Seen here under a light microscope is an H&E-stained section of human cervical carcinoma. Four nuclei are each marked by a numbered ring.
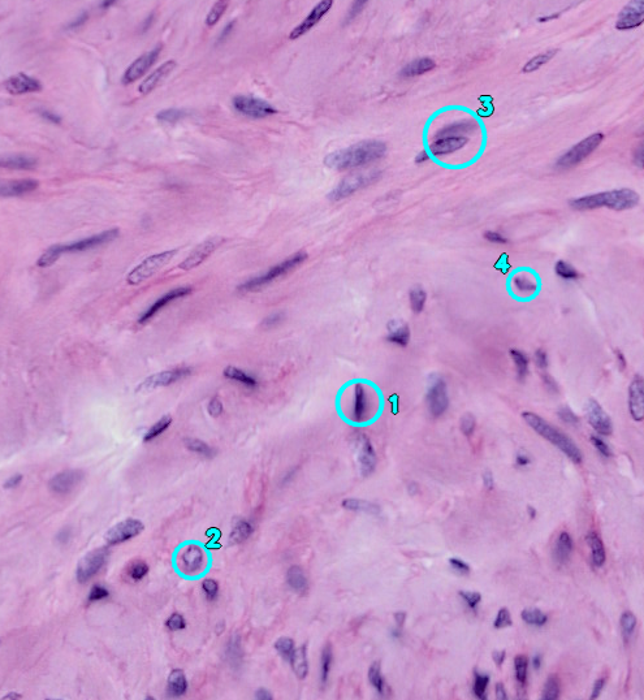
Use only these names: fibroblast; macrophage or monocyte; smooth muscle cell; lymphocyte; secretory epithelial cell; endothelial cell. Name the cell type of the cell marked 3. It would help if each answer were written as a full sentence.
The nucleus with number 3 is that of a fibroblast.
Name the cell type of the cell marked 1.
Cell number 1 in this section is a fibroblast.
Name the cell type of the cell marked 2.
In the tissue shown, cell 2 is a smooth muscle cell.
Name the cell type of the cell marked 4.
Numbered cell 4 is a fibroblast in this tissue section.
